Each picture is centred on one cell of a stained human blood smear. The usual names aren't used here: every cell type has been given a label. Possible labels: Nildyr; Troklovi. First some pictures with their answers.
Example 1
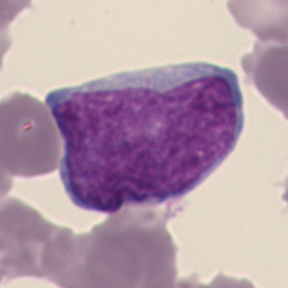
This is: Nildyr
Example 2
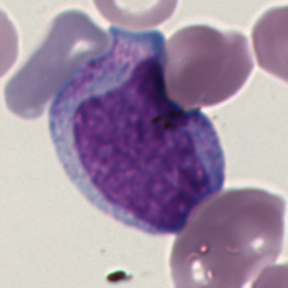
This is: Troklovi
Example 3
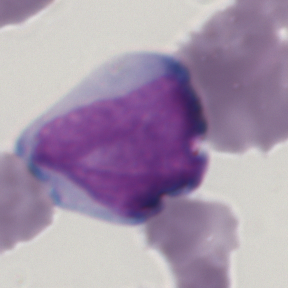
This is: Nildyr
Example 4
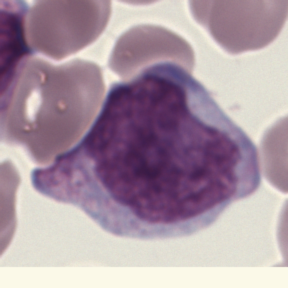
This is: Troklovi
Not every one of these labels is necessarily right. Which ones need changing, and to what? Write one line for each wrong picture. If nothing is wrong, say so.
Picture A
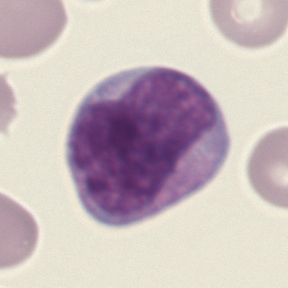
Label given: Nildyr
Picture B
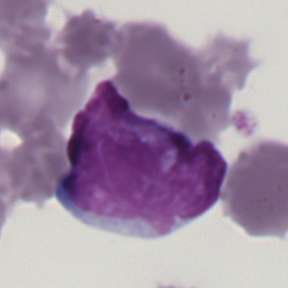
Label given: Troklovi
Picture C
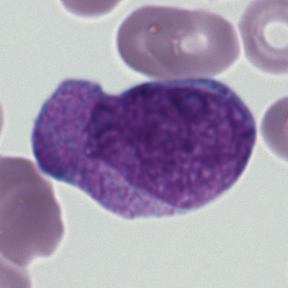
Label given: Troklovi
A: change Nildyr to Troklovi
B: change Troklovi to Nildyr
